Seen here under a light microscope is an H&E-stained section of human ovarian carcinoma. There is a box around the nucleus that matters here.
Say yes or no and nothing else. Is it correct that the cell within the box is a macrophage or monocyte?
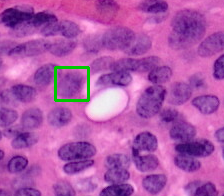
no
